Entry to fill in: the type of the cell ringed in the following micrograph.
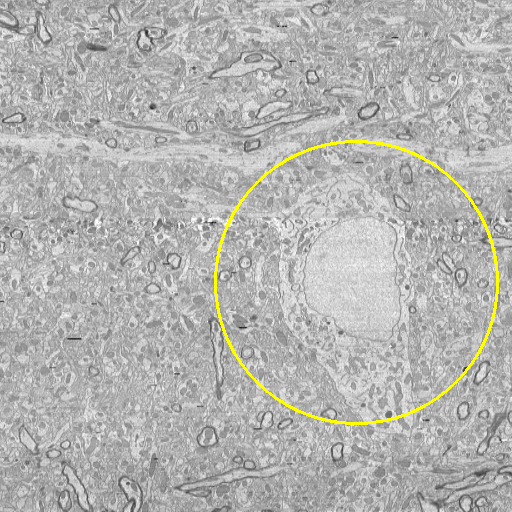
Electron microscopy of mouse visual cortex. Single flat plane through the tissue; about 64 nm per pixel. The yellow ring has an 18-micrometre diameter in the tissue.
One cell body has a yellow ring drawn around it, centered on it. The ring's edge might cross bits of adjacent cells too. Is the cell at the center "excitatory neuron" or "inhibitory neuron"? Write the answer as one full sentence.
This entry names an inhibitory neuron as the cell whose body lies at the ring's center.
